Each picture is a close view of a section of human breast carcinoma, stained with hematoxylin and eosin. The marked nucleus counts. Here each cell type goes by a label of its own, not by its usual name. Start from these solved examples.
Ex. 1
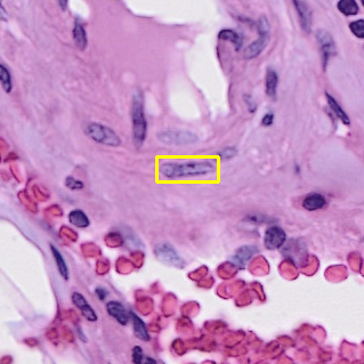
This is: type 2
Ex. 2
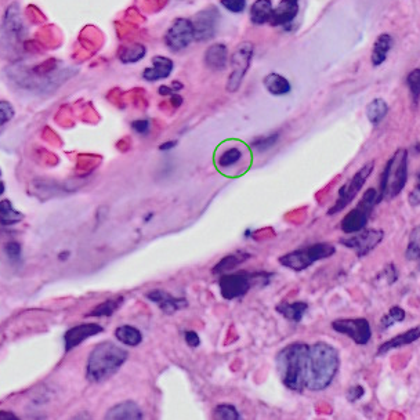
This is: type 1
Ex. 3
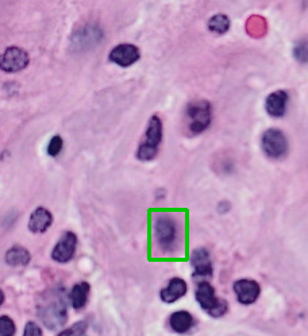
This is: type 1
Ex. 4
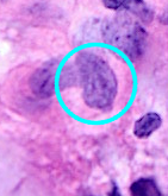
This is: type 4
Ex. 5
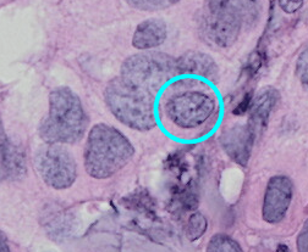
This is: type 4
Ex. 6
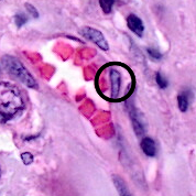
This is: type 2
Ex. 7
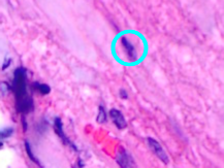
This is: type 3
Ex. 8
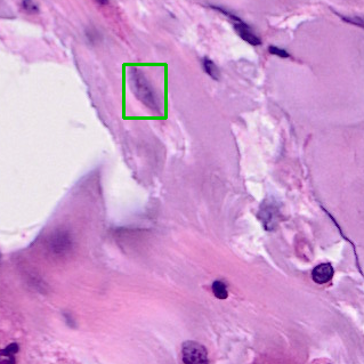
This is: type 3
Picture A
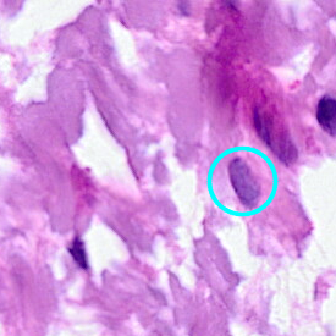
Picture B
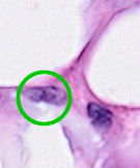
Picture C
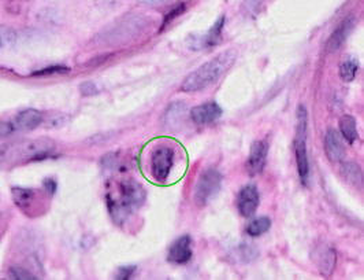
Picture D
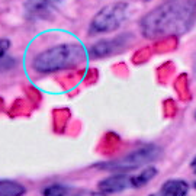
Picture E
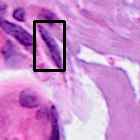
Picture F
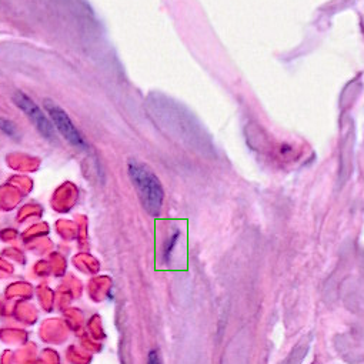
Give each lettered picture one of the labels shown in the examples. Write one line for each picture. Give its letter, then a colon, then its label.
A: type 3
B: type 3
C: type 1
D: type 2
E: type 3
F: type 3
